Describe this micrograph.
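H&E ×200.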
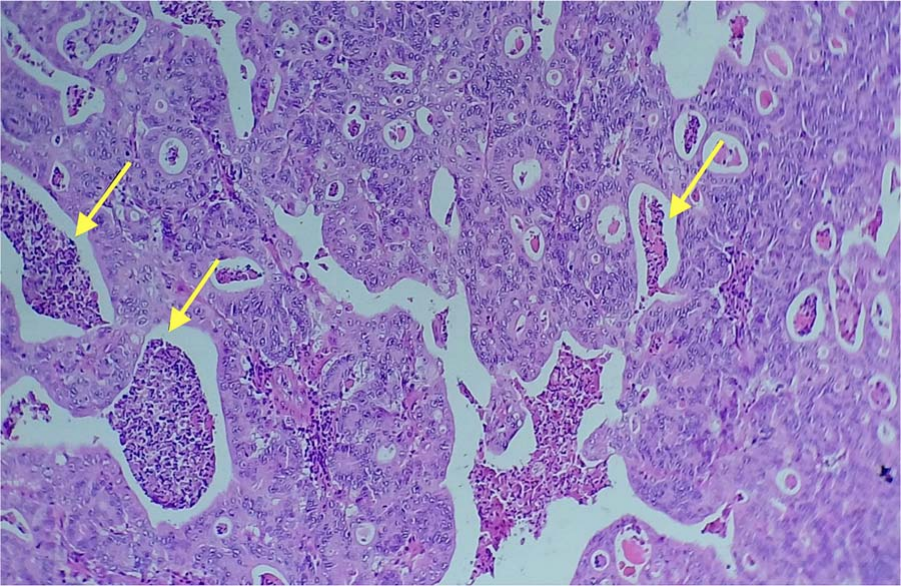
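The epithelium forms a complex pattern. Many small round lumina are punched through solid sheets, giving a sieve-like cribriform look, and tubular glands and wider irregular spaces run between them. The tumour cells have pink cytoplasm and enlarged, crowded, atypical nuclei. Many gland lumina, especially the larger ones, are packed with dirty debris: clumped dark purple nuclear fragments mixed with pink material. This debris is necrosis within the gland lumina. Little stroma separates the glands.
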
